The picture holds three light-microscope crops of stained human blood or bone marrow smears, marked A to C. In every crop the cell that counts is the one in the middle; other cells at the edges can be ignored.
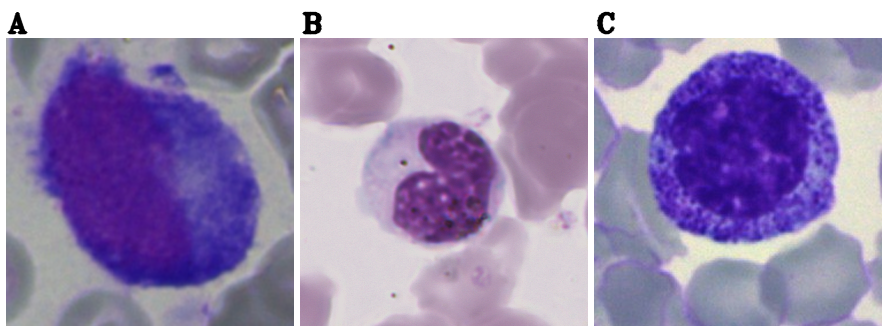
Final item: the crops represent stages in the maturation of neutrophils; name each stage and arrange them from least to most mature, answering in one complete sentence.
From least to most mature, the order is crop A (a promyelocyte), crop C (a myelocyte) and crop B (a band neutrophil).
